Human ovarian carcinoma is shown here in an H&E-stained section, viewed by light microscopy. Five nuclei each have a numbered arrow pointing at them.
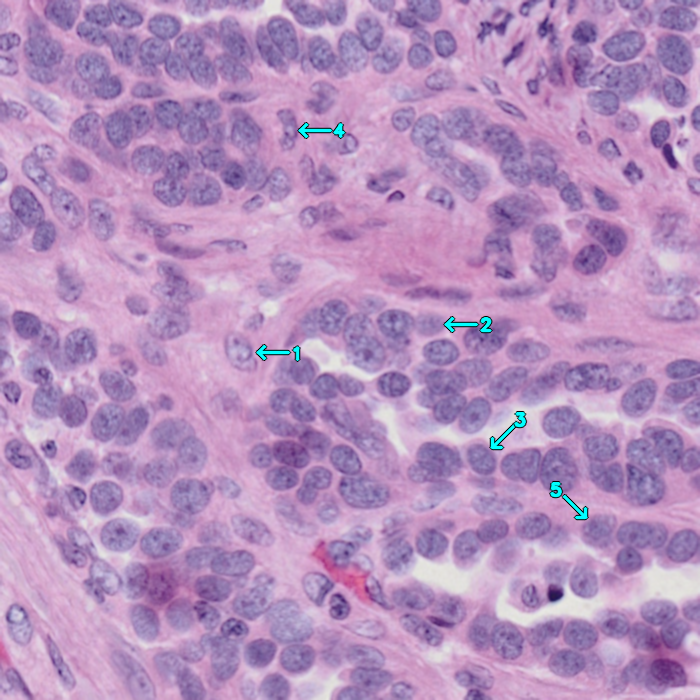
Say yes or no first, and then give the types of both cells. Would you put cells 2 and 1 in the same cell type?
No, as to type, cell 2 is a carcinoma cell, and cell 1 is a fibroblast.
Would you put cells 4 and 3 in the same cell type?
No, cell 4 is a fibroblast; cell 3, by contrast, is a carcinoma cell.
